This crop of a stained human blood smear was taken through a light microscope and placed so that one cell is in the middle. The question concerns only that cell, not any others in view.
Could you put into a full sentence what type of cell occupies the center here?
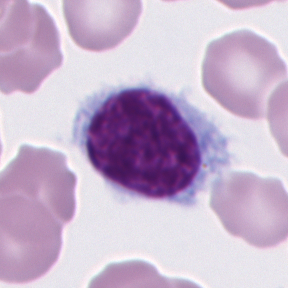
Of the cells in this crop, the central one is a hairy cell.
